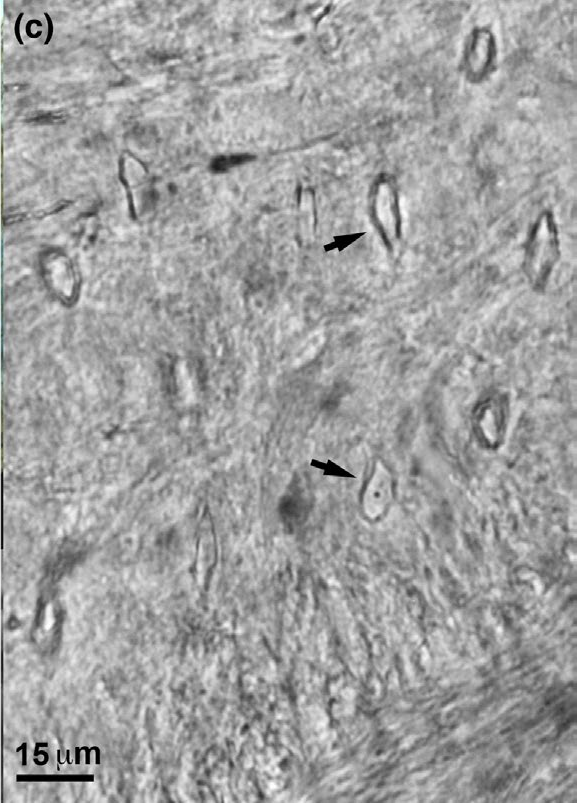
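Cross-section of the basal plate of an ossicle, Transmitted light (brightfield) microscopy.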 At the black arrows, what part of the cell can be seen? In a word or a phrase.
Osteocytes lacunae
